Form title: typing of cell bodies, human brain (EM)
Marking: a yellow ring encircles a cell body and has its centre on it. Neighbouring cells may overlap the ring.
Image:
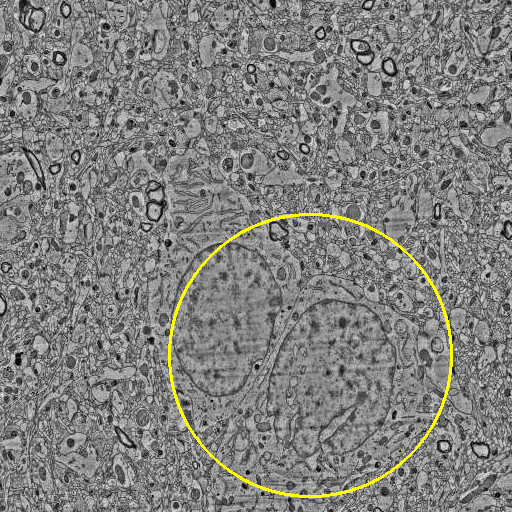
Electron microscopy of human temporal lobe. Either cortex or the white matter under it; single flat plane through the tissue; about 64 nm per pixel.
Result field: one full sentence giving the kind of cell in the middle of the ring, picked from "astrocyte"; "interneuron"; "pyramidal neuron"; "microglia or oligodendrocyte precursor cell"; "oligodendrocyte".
In the picture, the ring is centred on an interneuron, whose cell body it encircles.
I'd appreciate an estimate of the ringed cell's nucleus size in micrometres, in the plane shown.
Approximately 10 x 8 micrometres in this plane.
